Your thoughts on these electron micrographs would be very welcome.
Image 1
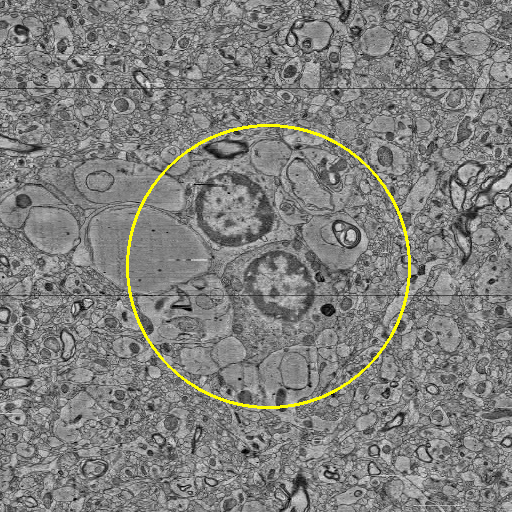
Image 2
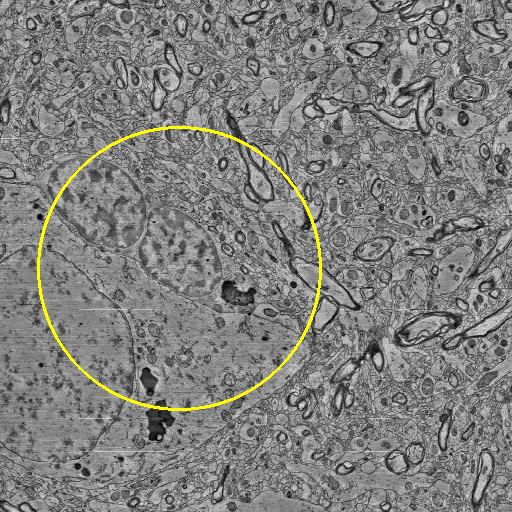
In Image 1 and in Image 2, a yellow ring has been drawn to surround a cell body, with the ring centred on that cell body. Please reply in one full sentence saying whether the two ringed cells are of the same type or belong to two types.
The ringed cells in Image 1 and Image 2 are of the same type.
